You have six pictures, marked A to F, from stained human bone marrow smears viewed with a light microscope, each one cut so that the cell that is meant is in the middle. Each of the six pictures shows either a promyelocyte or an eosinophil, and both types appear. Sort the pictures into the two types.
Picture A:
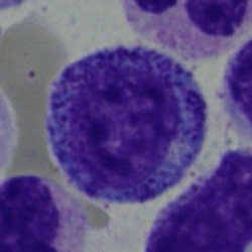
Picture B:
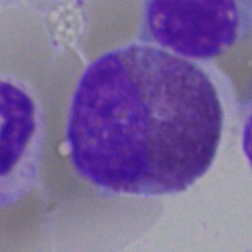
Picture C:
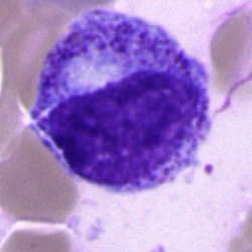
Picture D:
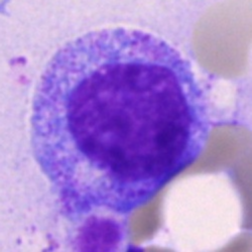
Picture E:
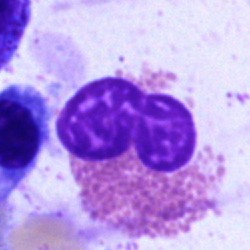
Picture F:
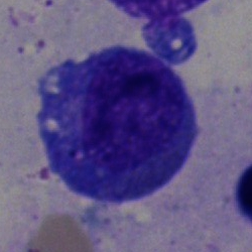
A: promyelocyte
B: eosinophil
C: promyelocyte
D: promyelocyte
E: eosinophil
F: promyelocyte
